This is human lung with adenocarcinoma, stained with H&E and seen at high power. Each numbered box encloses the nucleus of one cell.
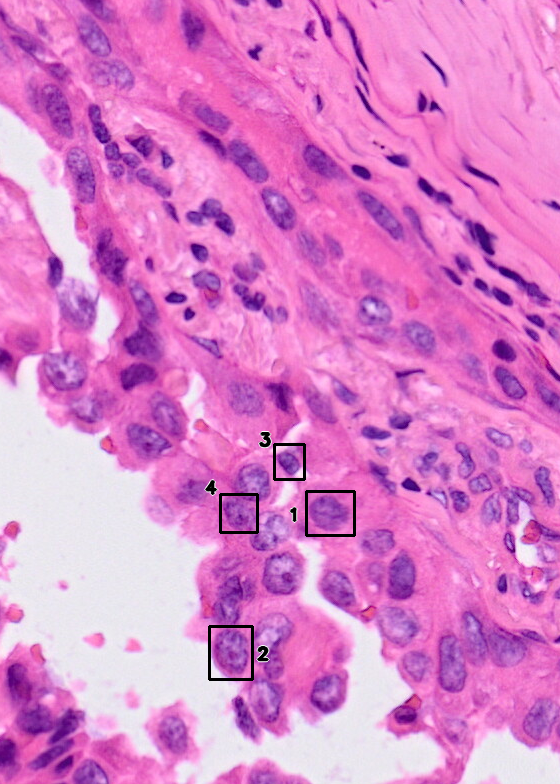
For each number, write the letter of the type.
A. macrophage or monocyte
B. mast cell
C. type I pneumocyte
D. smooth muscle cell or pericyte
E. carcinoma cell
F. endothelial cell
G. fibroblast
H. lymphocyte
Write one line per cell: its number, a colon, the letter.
1: E
2: E
3: H
4: E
